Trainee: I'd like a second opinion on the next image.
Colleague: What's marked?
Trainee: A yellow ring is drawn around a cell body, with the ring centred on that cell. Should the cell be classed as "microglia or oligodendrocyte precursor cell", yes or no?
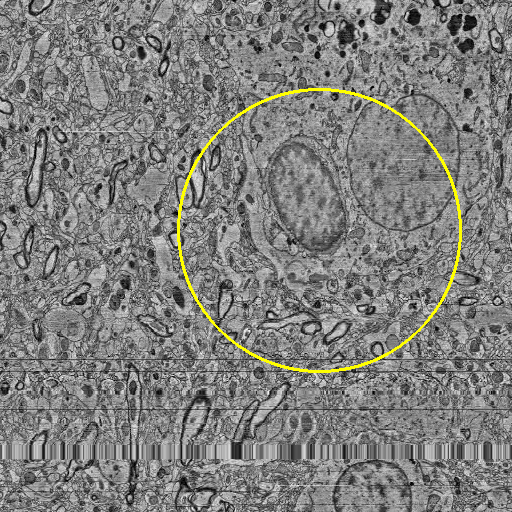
No, it should be classed as another kind.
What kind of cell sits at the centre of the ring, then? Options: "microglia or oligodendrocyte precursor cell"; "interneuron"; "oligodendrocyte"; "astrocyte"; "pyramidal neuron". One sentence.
That cell in the ring is an oligodendrocyte instead.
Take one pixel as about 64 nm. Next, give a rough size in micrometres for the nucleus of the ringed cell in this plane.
In this plane the nucleus spans approximately 7 by 4 micrometers.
